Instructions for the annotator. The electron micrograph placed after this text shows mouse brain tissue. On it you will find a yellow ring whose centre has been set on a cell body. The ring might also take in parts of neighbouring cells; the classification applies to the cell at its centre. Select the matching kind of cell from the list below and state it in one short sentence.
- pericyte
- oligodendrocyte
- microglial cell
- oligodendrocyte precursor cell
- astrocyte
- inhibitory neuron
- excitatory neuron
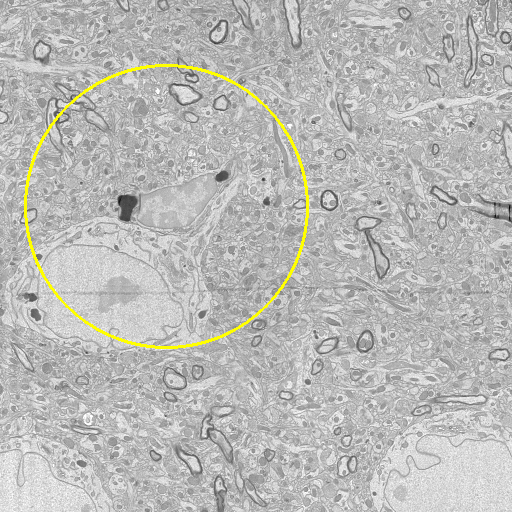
The ring is drawn on the cell body of a microglial cell.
